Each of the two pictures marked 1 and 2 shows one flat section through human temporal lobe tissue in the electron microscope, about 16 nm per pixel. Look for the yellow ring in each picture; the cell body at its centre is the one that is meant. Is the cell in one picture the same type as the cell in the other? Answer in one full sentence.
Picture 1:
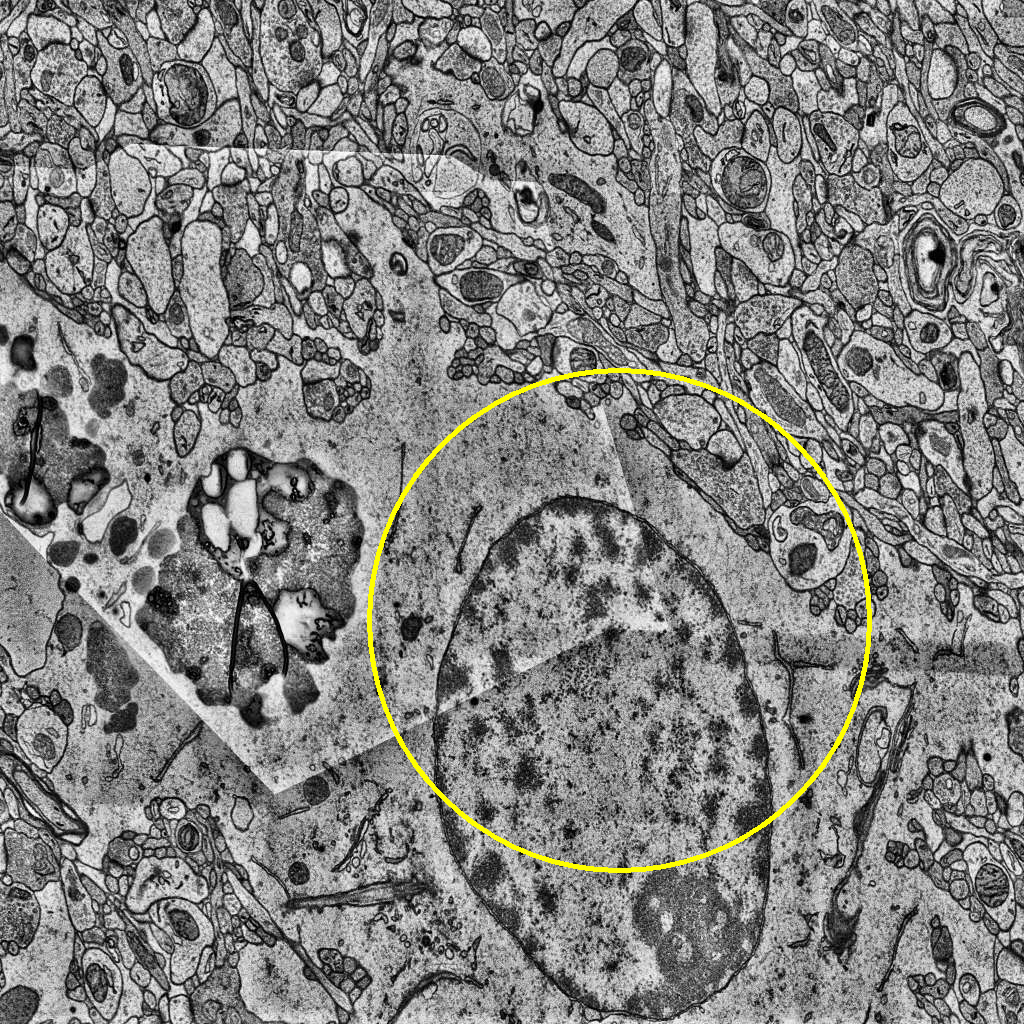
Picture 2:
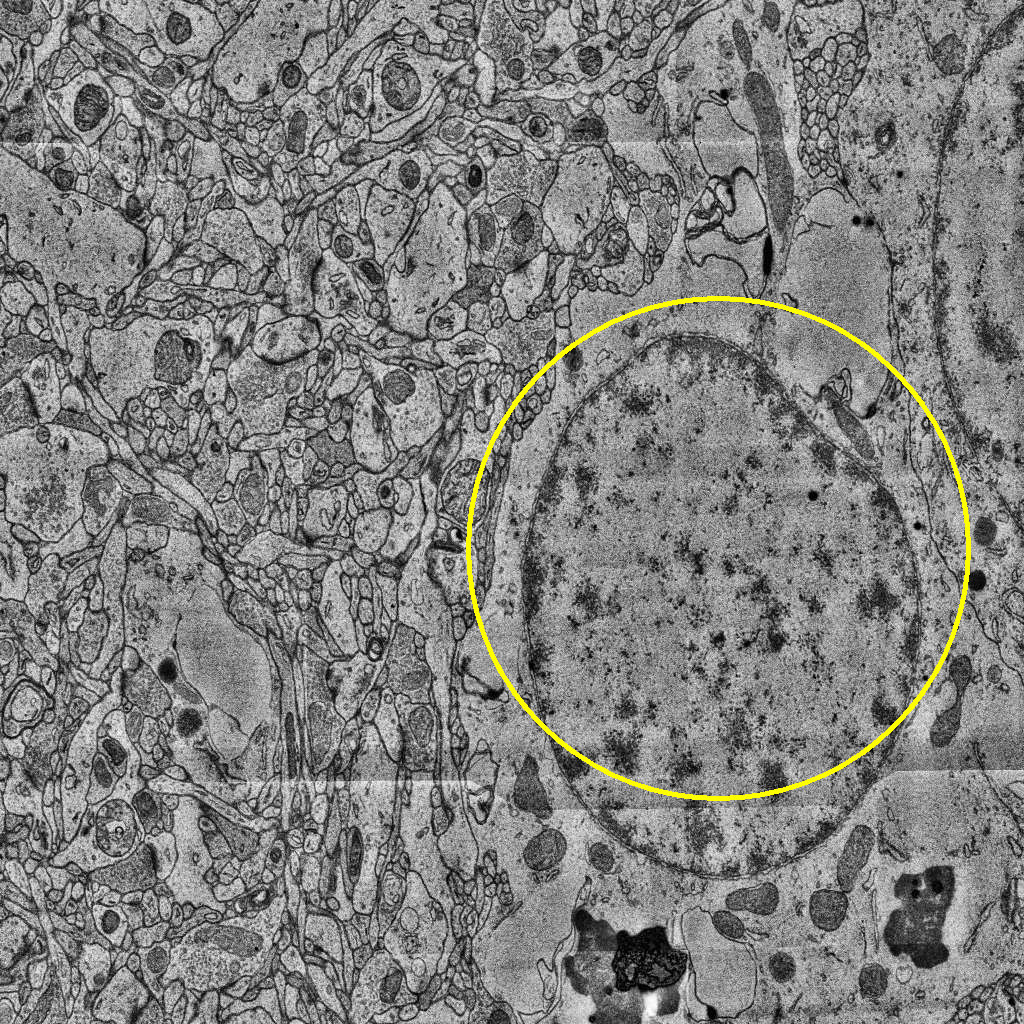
Yes, they are the same type: both are astrocytes.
